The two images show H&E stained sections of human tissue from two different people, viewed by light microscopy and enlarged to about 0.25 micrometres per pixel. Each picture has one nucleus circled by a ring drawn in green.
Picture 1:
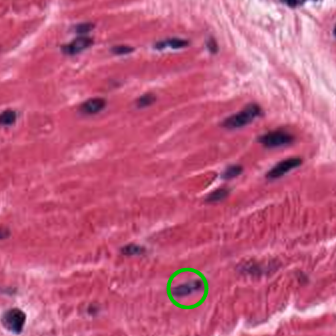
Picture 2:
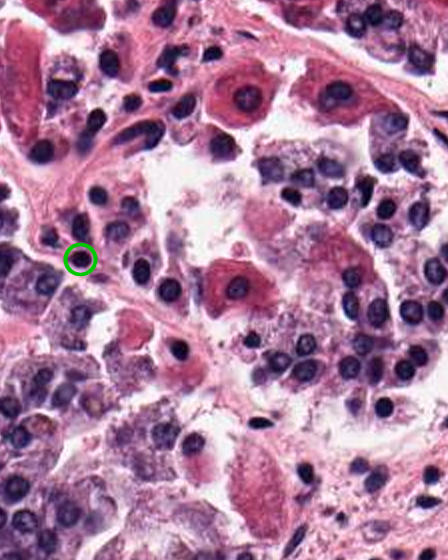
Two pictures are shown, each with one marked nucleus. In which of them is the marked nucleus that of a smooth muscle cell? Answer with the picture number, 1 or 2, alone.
1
